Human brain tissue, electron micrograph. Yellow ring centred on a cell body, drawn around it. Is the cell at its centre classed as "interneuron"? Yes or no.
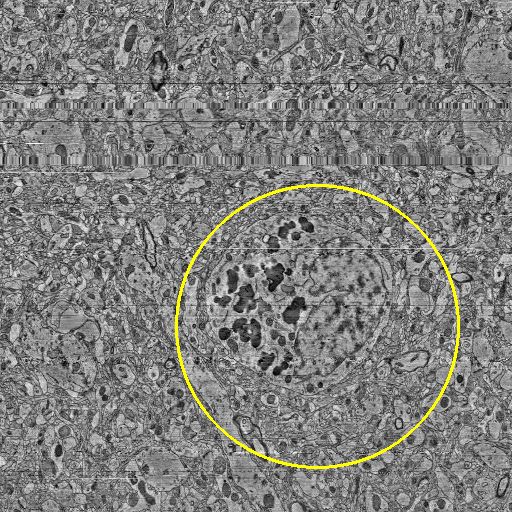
Yes, it is classed as that.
